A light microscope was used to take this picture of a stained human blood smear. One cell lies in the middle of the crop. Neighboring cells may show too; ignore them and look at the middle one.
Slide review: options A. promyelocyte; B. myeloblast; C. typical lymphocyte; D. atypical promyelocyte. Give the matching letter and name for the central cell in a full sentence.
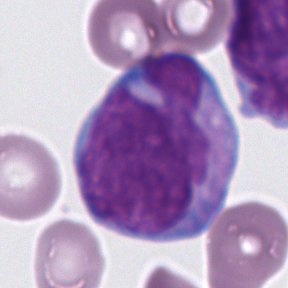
The middle of the crop contains an atypical promyelocyte, so option D is right.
